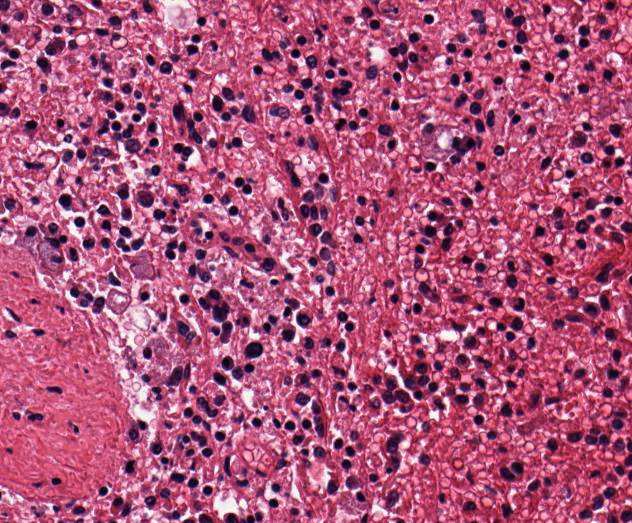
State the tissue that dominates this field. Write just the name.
red pulp of the spleen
